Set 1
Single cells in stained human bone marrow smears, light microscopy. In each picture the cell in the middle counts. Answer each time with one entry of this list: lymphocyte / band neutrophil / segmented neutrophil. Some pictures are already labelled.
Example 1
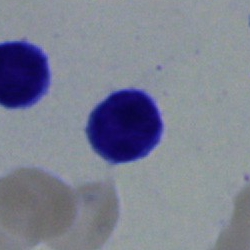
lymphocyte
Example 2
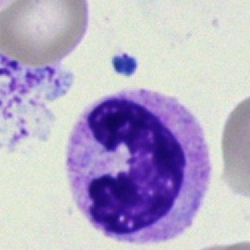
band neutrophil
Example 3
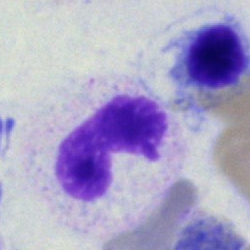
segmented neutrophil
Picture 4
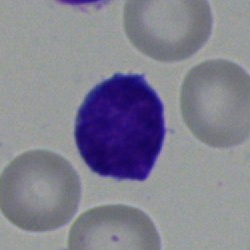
lymphocyte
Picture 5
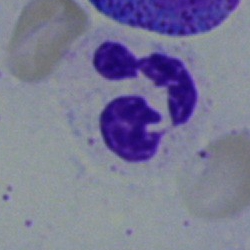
segmented neutrophil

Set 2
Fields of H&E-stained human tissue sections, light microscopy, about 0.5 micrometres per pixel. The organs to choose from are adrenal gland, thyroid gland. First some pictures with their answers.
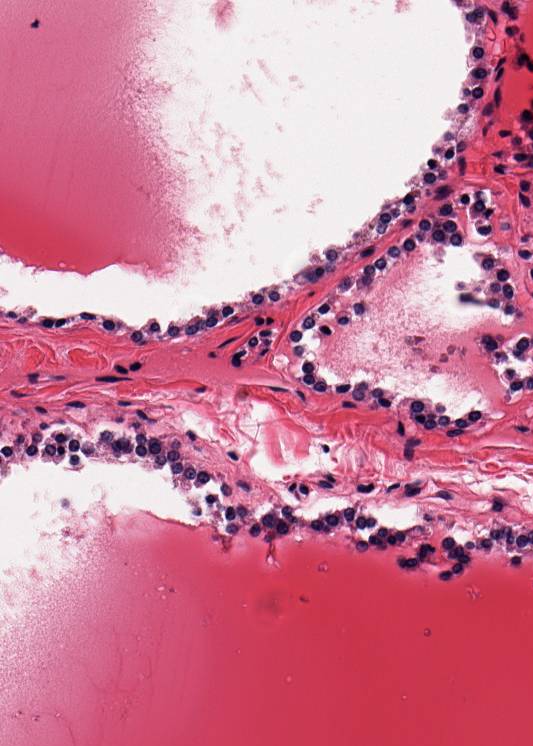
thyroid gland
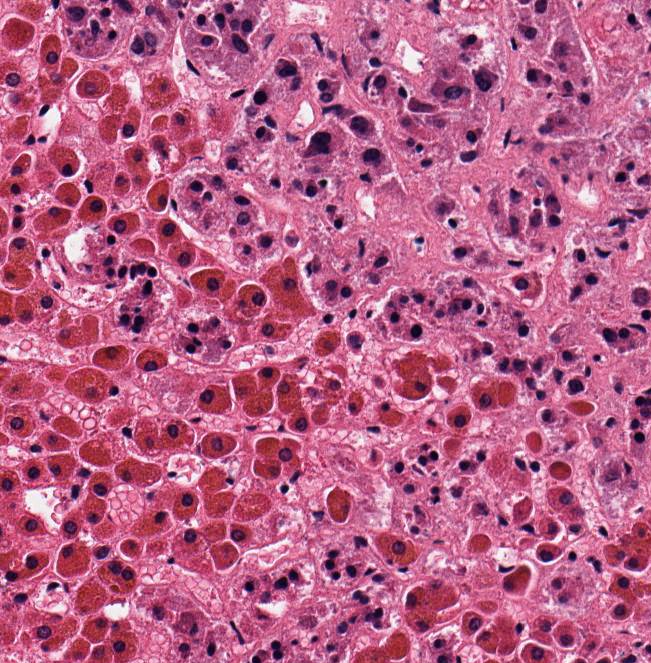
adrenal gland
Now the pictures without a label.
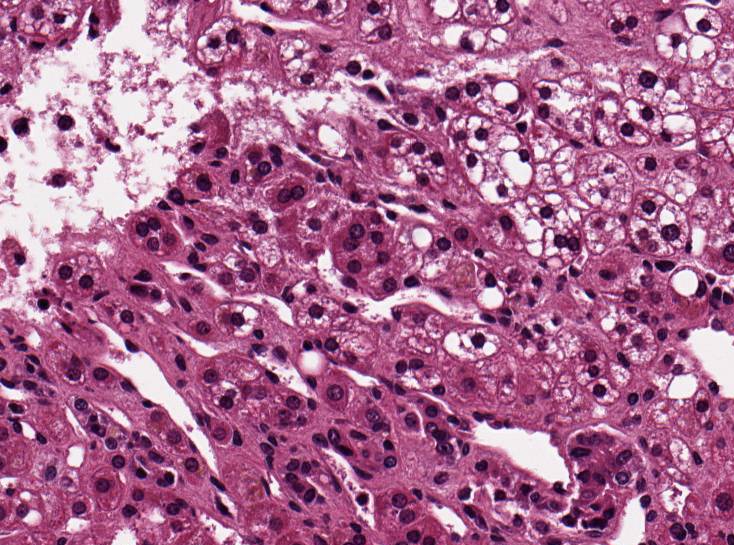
adrenal gland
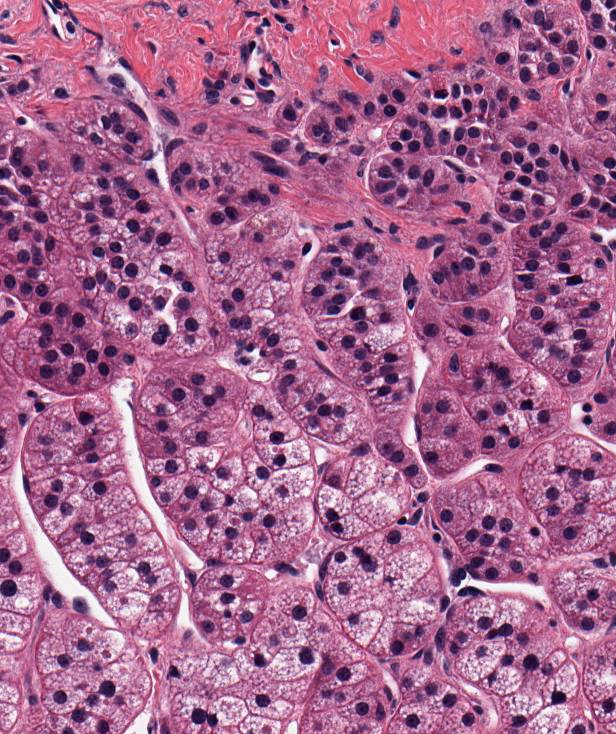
adrenal gland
